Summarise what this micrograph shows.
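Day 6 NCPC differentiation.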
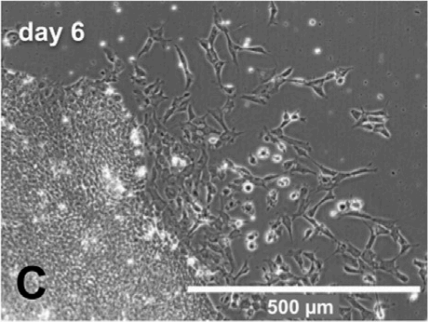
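A cultured colony is seen on the left with cells migrating away from it into the open surface on the right. Within the colony the cells are small and tightly packed, forming a dense, finely textured sheet with some bright spots. Beyond its ragged margin the cells lie apart from one another and are elongated, spindle-shaped or branched, with thin processes that touch neighbouring cells in a loose network. Scattered among them are several rounded, bright cells surrounded by a light halo.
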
